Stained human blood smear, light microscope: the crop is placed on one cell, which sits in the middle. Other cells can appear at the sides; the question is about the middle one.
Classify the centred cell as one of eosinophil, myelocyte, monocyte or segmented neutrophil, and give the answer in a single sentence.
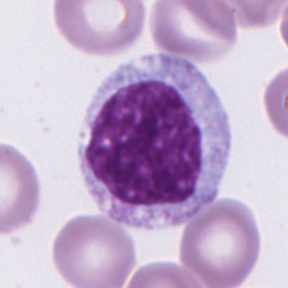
The middle cell in this particular crop is a myelocyte.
